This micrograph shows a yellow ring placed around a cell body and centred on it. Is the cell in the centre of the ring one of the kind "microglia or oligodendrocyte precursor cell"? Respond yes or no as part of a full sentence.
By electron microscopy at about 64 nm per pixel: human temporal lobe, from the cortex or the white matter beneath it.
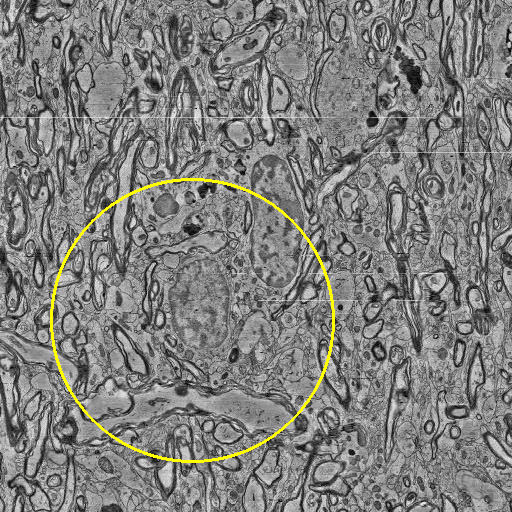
No, the cell in the centre of the ring within the picture belongs to another kind.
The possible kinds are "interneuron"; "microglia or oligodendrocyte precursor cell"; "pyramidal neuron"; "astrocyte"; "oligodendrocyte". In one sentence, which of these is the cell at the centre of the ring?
The cell in the ring is an oligodendrocyte instead.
